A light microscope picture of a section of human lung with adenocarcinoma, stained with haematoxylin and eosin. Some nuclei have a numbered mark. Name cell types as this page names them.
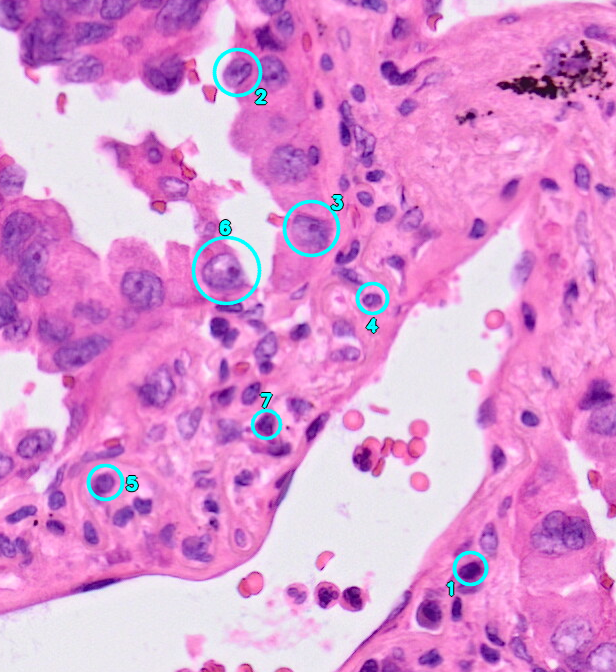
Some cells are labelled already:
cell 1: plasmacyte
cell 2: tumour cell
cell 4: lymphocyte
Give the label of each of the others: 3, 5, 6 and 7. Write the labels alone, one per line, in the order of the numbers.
tumour cell
plasmacyte
tumour cell
plasmacyte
